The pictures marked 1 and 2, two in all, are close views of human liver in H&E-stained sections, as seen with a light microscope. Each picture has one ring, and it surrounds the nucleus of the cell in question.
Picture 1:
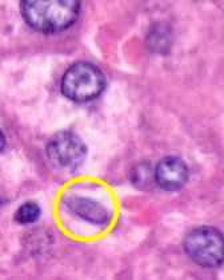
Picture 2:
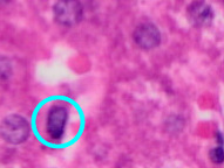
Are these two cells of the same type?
yes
